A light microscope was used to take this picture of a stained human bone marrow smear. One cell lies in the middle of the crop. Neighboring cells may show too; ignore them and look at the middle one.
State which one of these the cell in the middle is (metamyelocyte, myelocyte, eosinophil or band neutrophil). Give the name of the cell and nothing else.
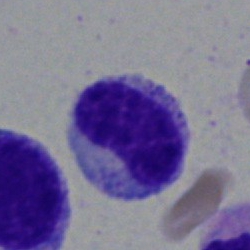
metamyelocyte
